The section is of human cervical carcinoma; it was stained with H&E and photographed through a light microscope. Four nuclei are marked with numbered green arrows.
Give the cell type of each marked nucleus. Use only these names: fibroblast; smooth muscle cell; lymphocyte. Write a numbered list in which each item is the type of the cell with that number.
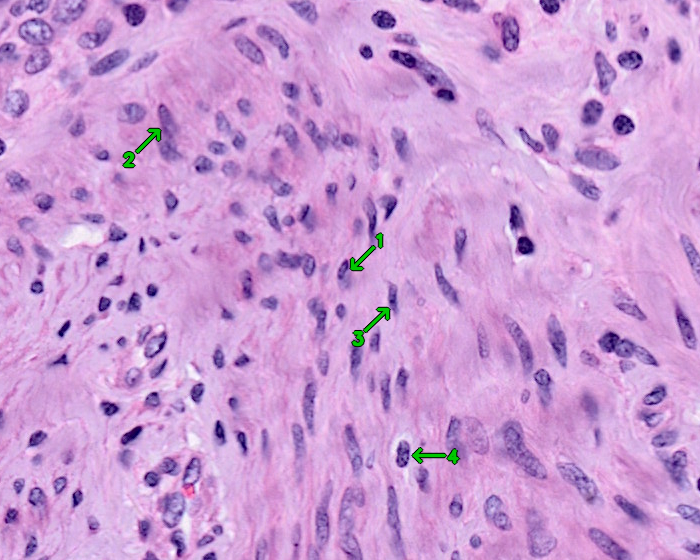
1. smooth muscle cell
2. smooth muscle cell
3. fibroblast
4. lymphocyte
